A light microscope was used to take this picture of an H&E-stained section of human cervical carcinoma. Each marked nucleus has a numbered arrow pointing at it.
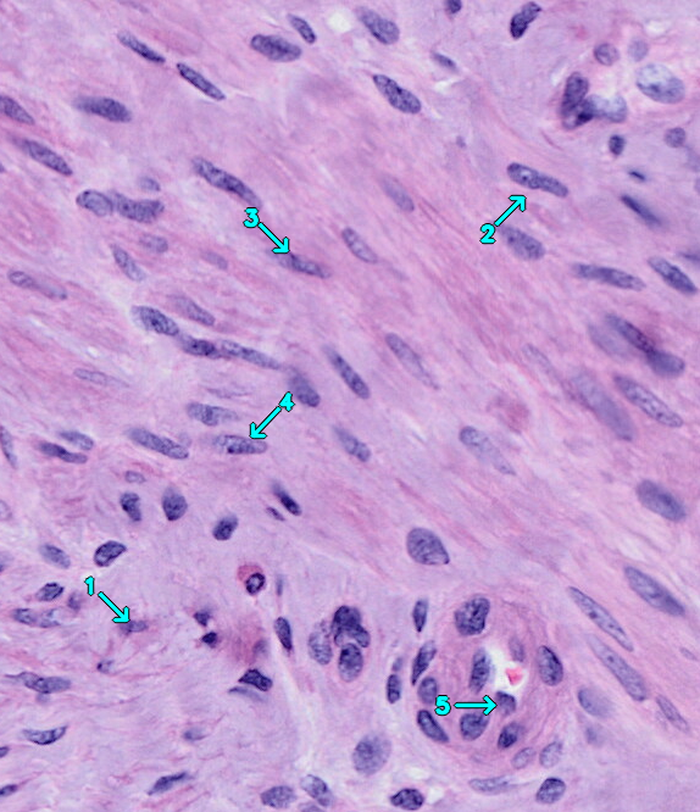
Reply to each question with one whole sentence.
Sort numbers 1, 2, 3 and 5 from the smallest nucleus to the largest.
The order from the smallest nucleus to the largest is 1, 5, 3, 2.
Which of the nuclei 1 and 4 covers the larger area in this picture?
Nucleus 4 is the larger one, covering about 2.5 times the area of nucleus 1.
